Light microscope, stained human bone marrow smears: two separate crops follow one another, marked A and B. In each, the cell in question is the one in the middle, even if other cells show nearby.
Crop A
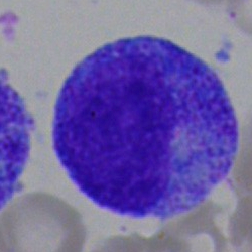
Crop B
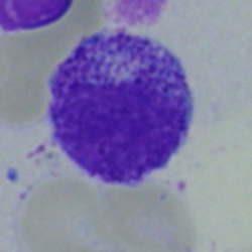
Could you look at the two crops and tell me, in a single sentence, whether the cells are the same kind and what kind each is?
No, crop A represents a promyelocyte, and crop B represents a myelocyte.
